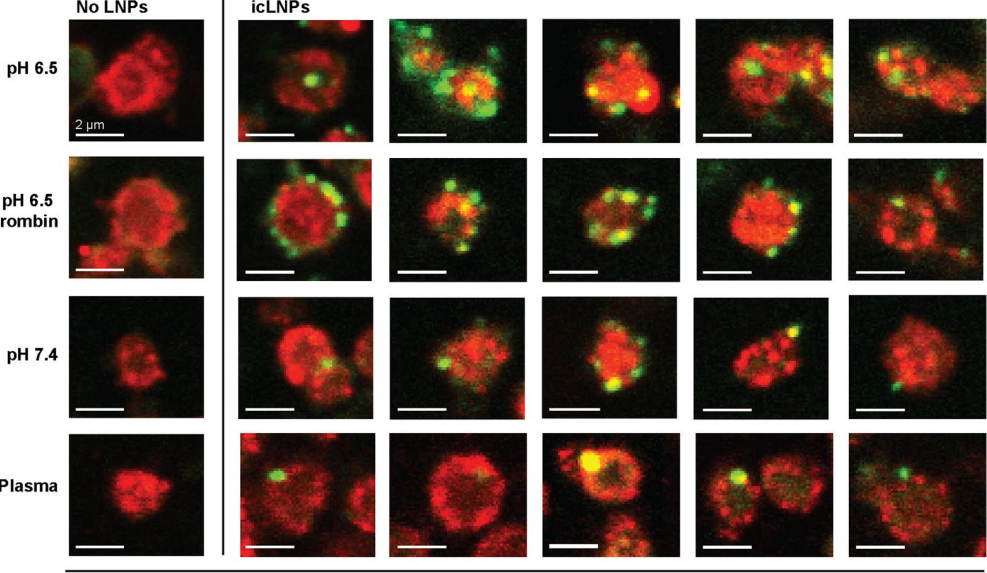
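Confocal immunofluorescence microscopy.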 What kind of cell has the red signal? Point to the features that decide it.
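The red objects are small, round to irregular bodies only about 2 to 4 µm across against the 2 µm scale bars. They have no distinct nucleus. Their red fluorescence is patchy and granular. That points to this answer: platelets.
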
